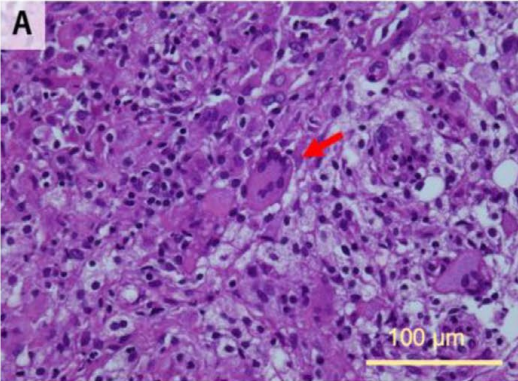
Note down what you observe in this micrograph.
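This lesional tissue is crowded with large cells whose cytoplasm is abundant, pale pink and finely bubbly, lying among many small cells with dark round nuclei. Scattered among them are very large cells with dense pink cytoplasm holding several nuclei each, one of them at the center of the field. A few clear round spaces lie between the cells. The pale vacuolated cells are foamy cells, and the large many-nucleated cells are multinucleated giant cells, together forming an inflammatory infiltrate.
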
